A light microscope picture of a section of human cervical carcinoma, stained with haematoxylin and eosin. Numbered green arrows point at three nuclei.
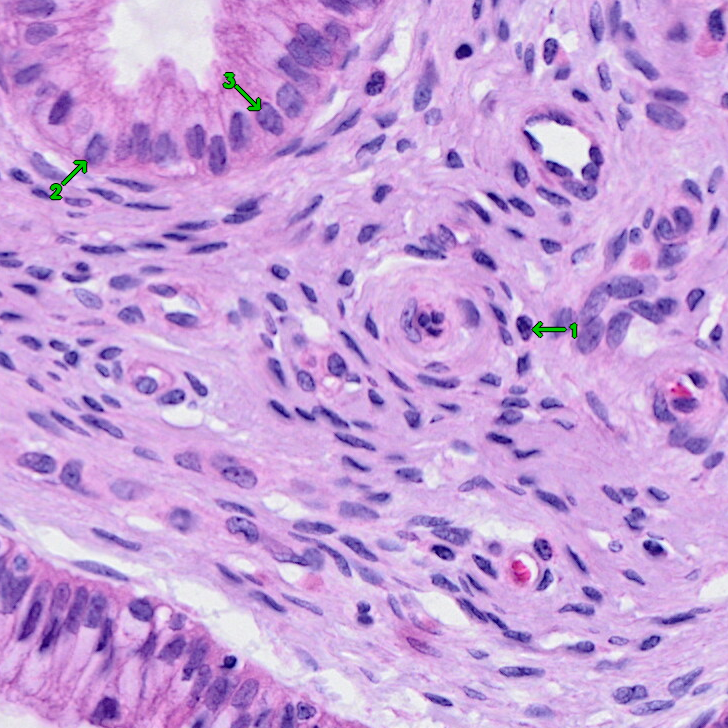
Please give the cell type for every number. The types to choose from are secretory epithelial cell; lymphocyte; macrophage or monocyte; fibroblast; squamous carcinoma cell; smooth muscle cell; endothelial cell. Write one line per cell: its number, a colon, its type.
1: lymphocyte
2: secretory epithelial cell
3: secretory epithelial cell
